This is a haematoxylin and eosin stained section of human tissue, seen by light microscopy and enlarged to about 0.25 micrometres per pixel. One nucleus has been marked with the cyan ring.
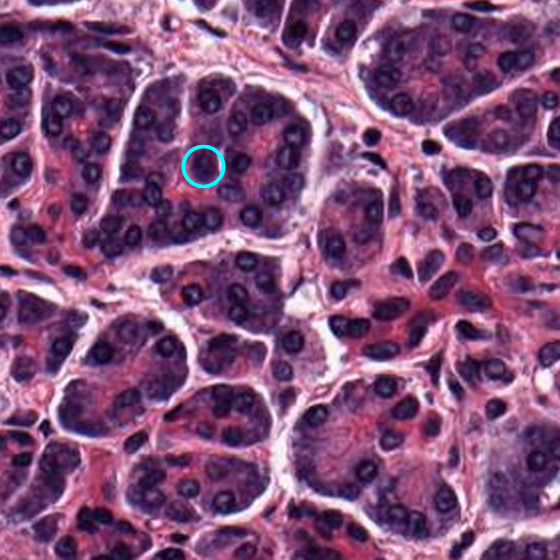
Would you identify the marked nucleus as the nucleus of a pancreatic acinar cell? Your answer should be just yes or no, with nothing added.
yes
